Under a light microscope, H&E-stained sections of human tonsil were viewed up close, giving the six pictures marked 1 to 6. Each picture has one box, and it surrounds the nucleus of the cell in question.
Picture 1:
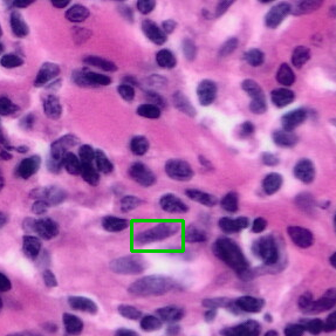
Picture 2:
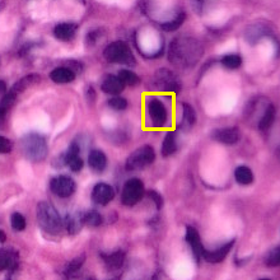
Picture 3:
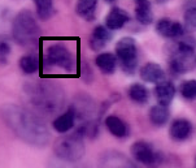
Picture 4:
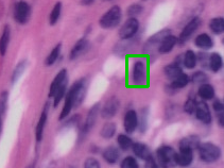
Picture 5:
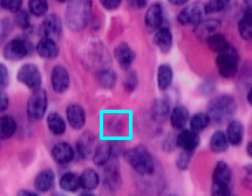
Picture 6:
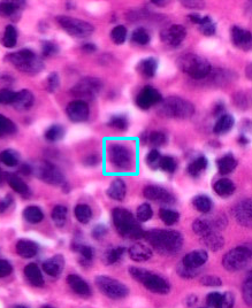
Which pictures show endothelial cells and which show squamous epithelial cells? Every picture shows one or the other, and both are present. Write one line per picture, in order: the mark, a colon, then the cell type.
1: endothelial cell
2: squamous epithelial cell
3: endothelial cell
4: endothelial cell
5: endothelial cell
6: squamous epithelial cell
